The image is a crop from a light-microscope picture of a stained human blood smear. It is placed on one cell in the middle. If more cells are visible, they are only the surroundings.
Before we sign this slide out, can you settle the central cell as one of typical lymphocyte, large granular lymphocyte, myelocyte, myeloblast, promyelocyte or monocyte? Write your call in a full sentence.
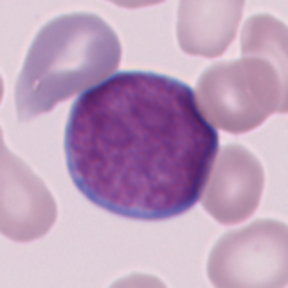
For this crop, the central cell is a myeloblast.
